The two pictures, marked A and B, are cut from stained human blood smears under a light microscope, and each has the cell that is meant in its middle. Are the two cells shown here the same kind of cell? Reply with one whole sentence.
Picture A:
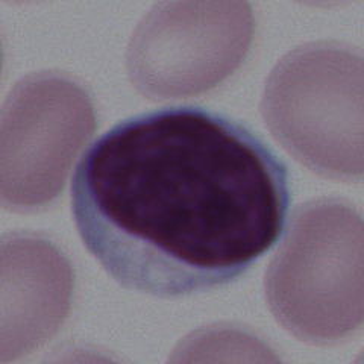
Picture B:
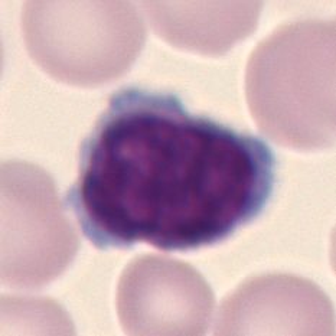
Yes, they are the same type: both are typical lymphocytes.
